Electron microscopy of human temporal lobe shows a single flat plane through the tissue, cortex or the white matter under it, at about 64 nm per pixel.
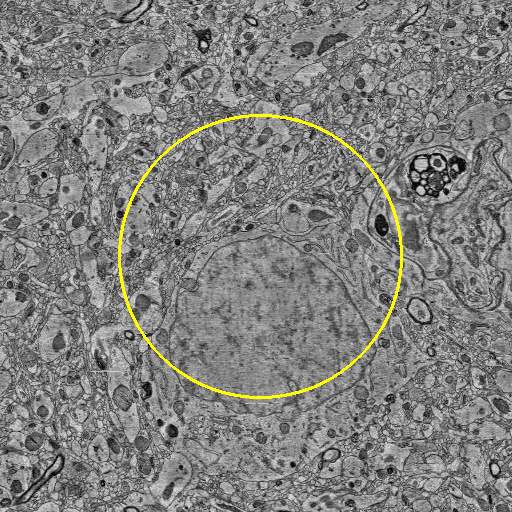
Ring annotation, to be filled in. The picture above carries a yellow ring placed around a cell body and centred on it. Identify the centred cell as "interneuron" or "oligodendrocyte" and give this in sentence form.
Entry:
The cell in the middle of the ring is an interneuron.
